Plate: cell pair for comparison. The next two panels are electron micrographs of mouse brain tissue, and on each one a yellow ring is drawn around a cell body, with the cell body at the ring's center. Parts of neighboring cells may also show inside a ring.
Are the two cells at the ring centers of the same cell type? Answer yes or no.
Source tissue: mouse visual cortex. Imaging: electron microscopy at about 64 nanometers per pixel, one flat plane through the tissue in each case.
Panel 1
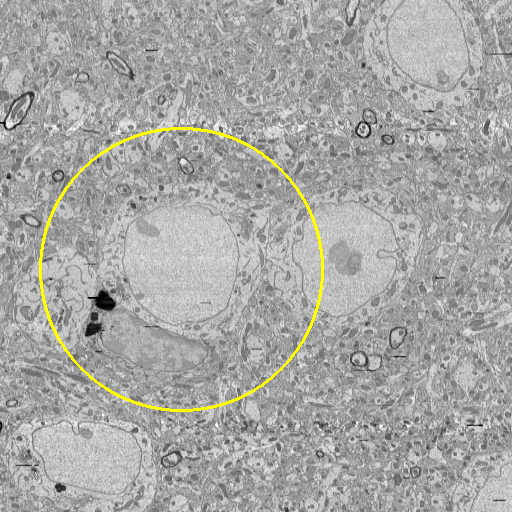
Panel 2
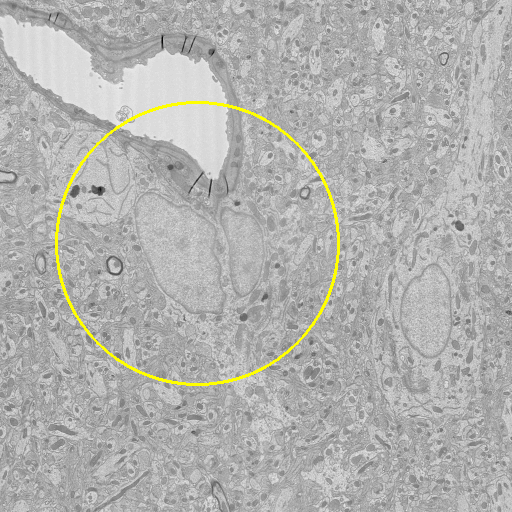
no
